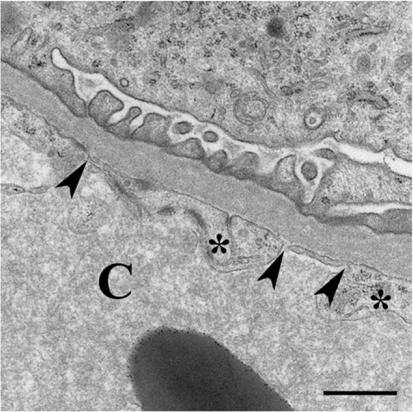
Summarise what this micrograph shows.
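This electron micrograph shows the wall of a glomerular capillary at high magnification, with the lumen in the lower part and podocyte cytoplasm above. A broad, evenly dense basement membrane runs diagonally across the field. On its outer side, podocyte foot processes form a row of small rounded profiles separated by narrow clear spaces. On its inner side, the endothelial lining is a thin continuous layer with few visible gaps, and pale swollen blebs of endothelial cytoplasm bulge from it into the lumen.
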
